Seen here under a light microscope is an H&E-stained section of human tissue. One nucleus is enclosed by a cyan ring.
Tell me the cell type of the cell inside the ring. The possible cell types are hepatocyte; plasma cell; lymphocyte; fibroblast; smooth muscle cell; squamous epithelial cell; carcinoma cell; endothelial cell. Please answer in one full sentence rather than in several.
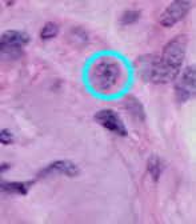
Assigned to a cell type, the cell inside the ring is a smooth muscle cell.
